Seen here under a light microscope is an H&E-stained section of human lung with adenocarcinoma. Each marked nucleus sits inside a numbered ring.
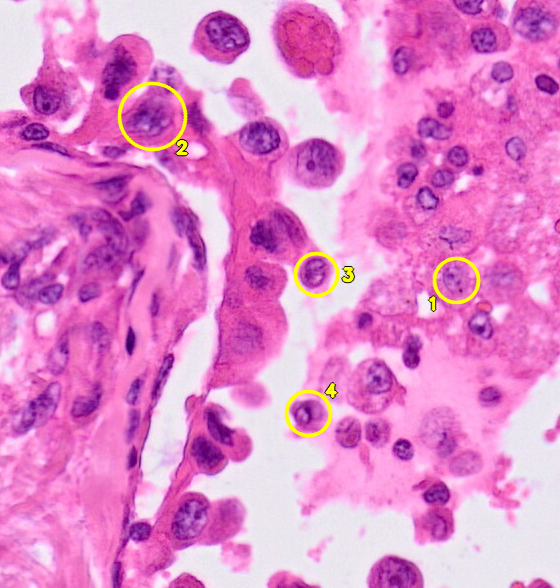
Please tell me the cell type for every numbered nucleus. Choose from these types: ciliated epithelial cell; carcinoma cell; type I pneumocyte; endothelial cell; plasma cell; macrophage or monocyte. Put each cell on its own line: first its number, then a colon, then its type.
1: macrophage or monocyte
2: carcinoma cell
3: macrophage or monocyte
4: macrophage or monocyte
